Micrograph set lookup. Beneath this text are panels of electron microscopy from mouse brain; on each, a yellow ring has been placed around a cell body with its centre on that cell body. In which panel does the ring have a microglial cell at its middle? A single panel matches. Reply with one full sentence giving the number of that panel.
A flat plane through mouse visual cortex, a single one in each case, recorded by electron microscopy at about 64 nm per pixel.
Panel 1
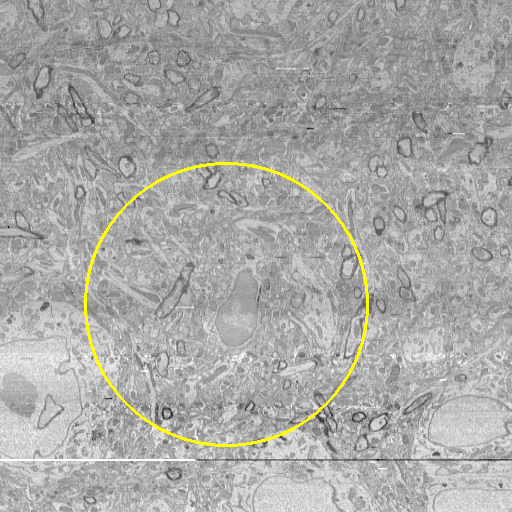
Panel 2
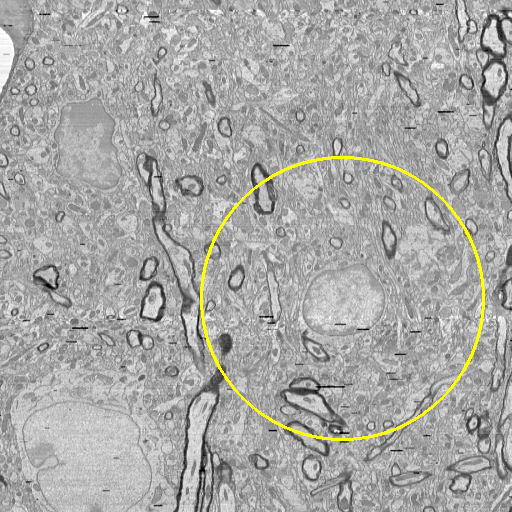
Panel 1 is the one whose ring has the sought cell at its centre.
